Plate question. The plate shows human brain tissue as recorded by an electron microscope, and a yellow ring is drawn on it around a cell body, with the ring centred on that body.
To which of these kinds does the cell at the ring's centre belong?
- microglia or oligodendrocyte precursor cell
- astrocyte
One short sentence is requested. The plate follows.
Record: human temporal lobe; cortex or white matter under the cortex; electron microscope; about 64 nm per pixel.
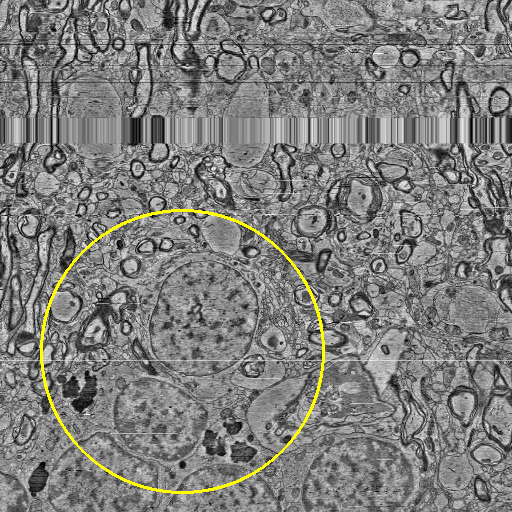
The cell at the ring's centre is a microglial cell or oligodendrocyte precursor cell.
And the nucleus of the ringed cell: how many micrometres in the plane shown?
The ringed cell's nucleus is about 7 micrometres across in this plane.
